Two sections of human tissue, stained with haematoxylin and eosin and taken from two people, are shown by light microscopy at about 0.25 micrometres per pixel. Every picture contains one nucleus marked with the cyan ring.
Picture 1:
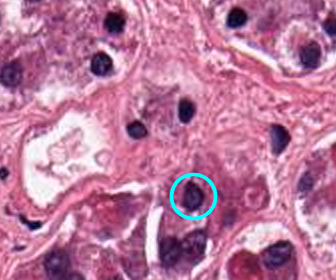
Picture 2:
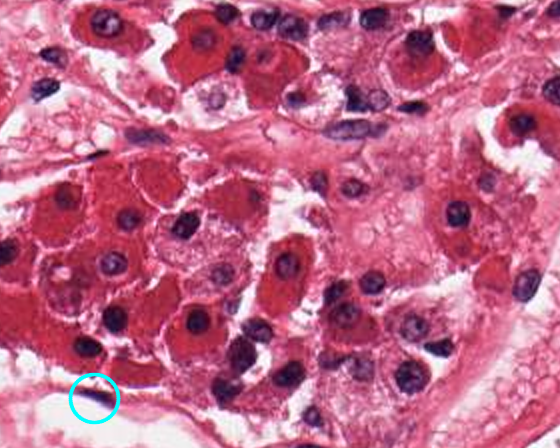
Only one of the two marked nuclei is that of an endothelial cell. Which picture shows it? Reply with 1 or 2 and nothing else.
2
